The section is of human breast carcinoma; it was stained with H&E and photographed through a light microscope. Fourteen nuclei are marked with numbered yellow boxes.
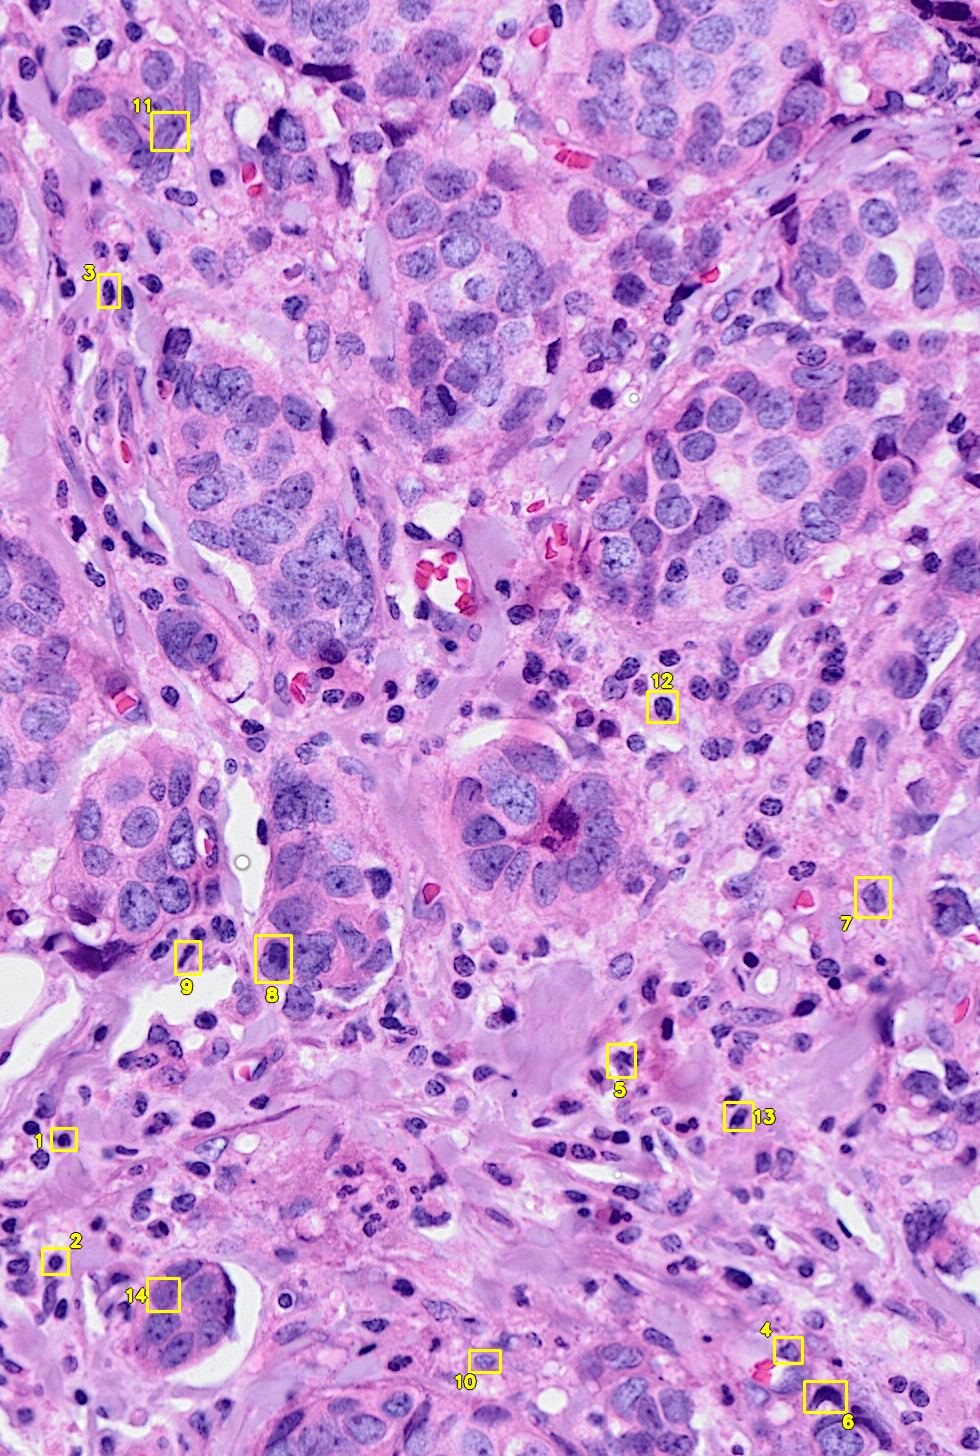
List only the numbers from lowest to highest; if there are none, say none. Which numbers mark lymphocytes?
1, 2, 3, 5, 9, 12, 13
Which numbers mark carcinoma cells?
6, 8, 11, 14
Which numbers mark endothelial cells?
4, 10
